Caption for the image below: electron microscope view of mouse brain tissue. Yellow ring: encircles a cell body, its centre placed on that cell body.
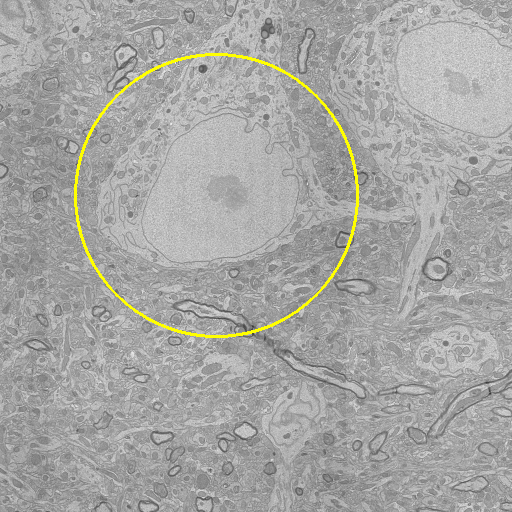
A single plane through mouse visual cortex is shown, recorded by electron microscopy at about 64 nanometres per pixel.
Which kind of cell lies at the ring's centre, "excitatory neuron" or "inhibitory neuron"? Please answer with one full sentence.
The picture shows an excitatory neuron at the centre of the yellow ring.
